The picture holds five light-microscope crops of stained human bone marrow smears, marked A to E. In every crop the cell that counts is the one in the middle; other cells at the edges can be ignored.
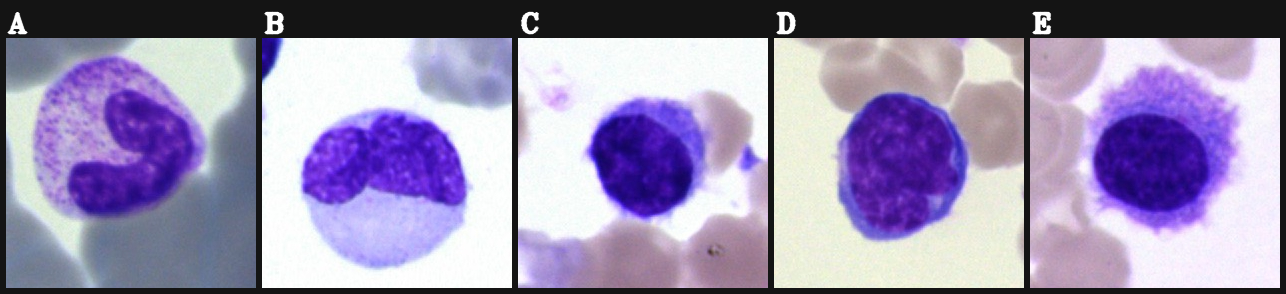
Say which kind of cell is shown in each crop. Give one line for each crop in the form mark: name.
A: band neutrophil
B: band neutrophil
C: hairy cell
D: blast
E: hairy cell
